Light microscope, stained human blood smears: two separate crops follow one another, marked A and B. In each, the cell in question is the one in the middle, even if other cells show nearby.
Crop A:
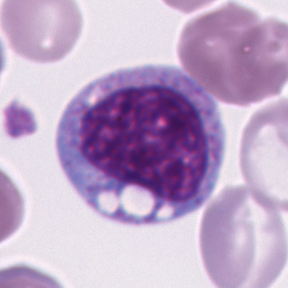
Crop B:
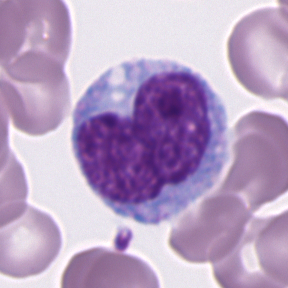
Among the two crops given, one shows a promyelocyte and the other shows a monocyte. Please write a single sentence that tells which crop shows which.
While crop A is a promyelocyte, crop B is a monocyte.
